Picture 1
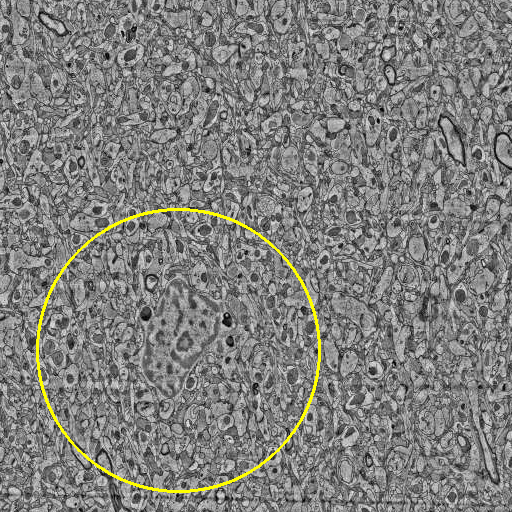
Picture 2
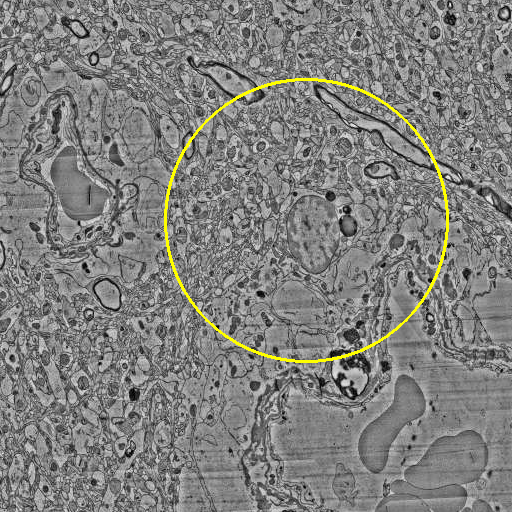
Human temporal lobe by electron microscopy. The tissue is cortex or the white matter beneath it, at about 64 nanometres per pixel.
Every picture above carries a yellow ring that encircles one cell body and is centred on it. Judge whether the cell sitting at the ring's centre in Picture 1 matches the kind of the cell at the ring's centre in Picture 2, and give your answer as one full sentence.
Yes, the cells centred in the rings of Pictures 1 and 2 belong to one kind.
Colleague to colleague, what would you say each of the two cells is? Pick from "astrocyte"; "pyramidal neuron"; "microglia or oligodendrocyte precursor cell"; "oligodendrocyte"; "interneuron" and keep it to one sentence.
Both the first and the second picture show a microglial cell or oligodendrocyte precursor cell in the ring.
